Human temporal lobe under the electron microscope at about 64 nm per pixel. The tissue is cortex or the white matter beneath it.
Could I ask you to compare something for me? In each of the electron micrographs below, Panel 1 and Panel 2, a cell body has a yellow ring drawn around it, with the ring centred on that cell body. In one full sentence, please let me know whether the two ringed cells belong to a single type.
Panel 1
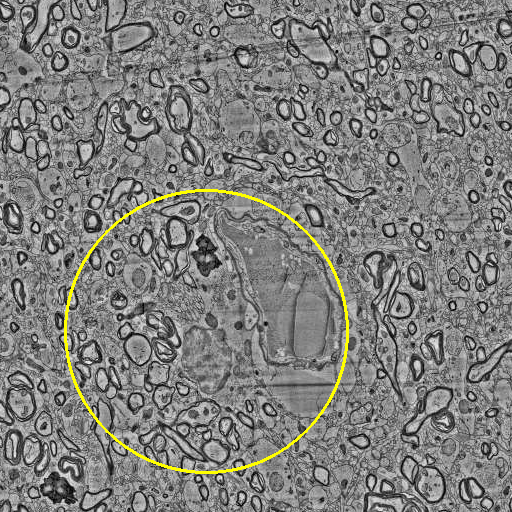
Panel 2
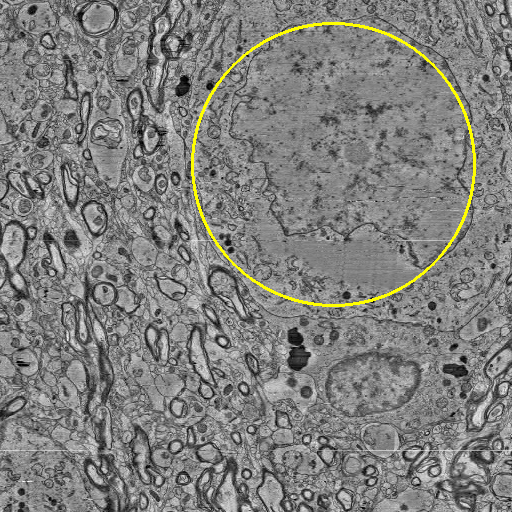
No, the two cells at the centres of the rings are of two types.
